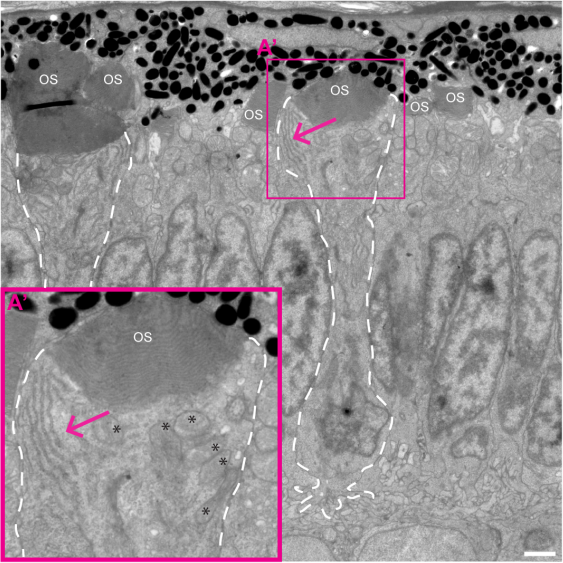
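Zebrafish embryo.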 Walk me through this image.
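This is the photoreceptor cell layer of the retina, with pigment granules of the pigment epithelium at the top, outer segments of stacked membrane discs beneath them, and elongated photoreceptor cell bodies with oval nuclei below. In the enlarged inset, stacks of parallel endoplasmic reticulum membranes and a few scattered mitochondria lie in the region just beneath an outer segment.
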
